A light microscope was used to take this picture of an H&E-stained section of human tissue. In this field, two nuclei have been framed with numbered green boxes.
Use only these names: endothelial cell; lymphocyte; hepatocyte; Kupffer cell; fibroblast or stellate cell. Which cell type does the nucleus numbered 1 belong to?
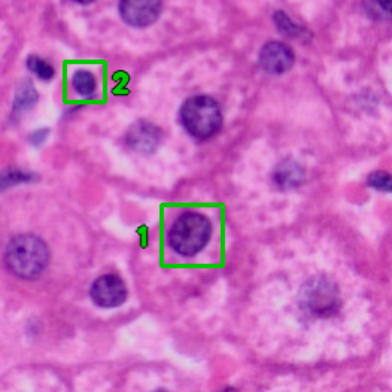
hepatocyte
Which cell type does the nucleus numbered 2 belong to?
lymphocyte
